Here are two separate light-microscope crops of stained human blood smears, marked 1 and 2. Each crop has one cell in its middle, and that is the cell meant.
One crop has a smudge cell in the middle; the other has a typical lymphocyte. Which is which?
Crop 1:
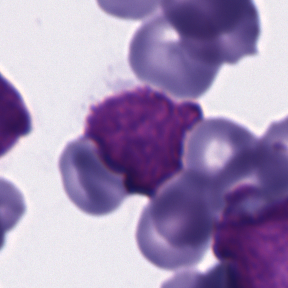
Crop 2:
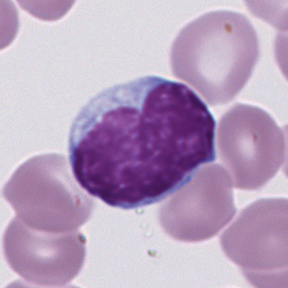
1: smudge cell
2: typical lymphocyte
